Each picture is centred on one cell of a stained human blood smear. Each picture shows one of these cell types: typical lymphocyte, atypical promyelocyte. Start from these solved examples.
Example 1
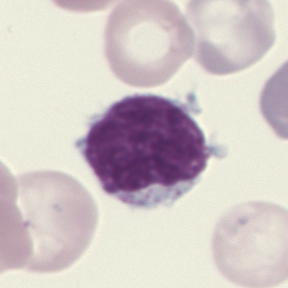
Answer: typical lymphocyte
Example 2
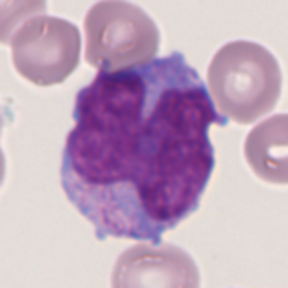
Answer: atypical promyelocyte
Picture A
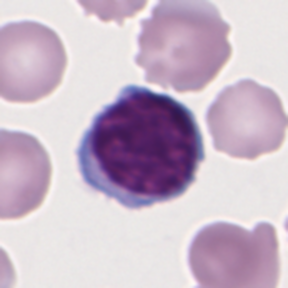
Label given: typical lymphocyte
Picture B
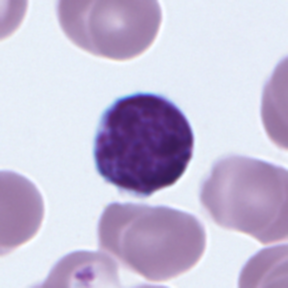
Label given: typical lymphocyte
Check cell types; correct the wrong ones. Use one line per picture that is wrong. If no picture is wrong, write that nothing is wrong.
Nothing to fix; every label fits.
